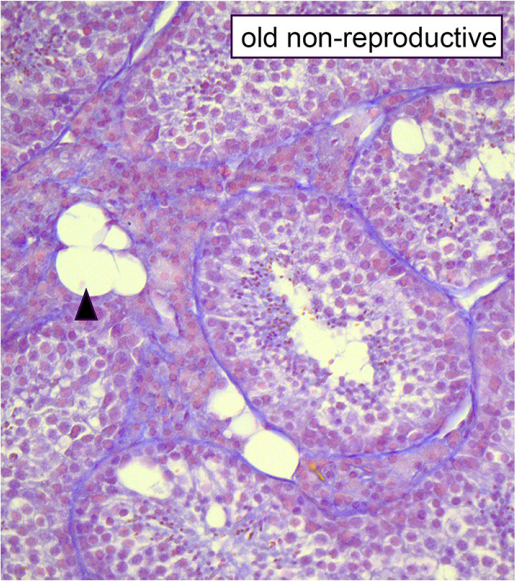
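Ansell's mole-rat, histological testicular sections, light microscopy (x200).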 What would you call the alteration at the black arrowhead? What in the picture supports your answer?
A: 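Vacuolar degenerations. The arrowhead points to a cluster of large round clear spaces.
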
